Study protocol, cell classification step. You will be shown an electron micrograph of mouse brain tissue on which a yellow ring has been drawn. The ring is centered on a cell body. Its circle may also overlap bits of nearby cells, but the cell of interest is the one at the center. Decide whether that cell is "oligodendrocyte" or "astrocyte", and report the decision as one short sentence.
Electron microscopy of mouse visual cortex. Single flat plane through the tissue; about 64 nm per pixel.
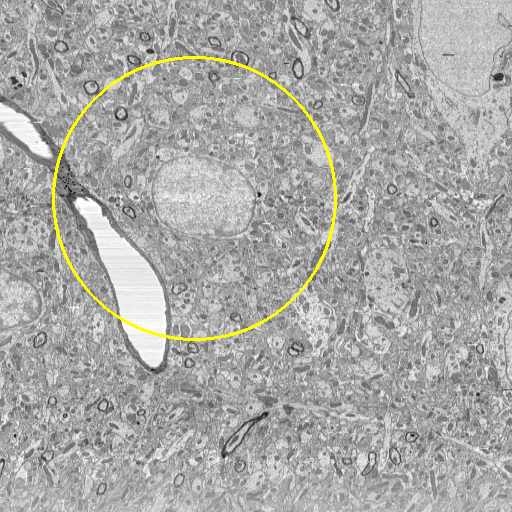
The marked cell is an astrocyte.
